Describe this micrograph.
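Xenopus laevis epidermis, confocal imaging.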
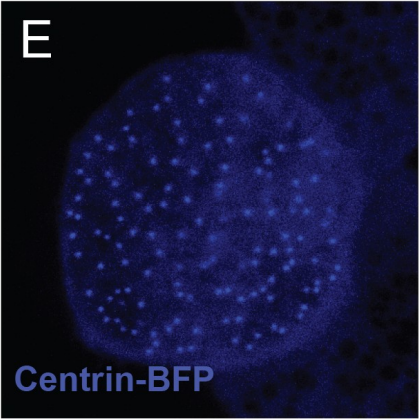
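The cell is rounded and faintly filled with blue, and its surface is studded with many small, bright, evenly sized blue dots spread fairly evenly over it. Neighbouring cells at the edges show only faint blue with a patchy pattern.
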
